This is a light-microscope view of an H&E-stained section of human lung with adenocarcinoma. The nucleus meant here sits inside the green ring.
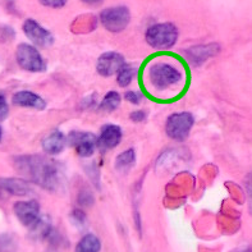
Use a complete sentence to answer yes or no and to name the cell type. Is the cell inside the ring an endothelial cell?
No, far from being an endothelial cell, the cell inside the ring is a lymphocyte.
